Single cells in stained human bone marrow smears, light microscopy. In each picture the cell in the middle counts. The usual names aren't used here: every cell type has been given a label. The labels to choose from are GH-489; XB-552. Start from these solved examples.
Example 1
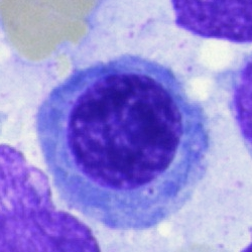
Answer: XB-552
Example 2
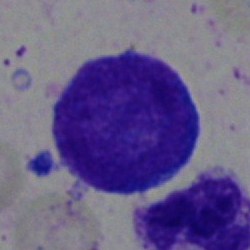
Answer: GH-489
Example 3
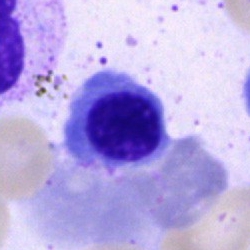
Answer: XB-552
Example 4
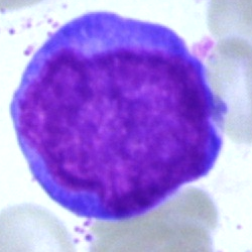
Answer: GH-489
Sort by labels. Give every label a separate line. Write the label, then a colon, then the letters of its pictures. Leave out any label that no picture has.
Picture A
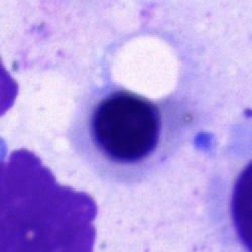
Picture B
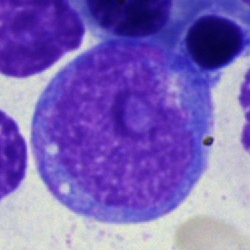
GH-489: B
XB-552: A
